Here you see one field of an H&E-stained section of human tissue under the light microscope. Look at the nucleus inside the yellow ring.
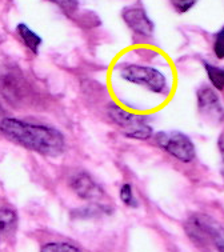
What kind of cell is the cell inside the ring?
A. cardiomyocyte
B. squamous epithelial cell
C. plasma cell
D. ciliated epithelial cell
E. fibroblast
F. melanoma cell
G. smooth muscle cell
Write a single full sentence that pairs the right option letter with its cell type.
In this case the cell inside the ring is a melanoma cell, so option F is correct.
